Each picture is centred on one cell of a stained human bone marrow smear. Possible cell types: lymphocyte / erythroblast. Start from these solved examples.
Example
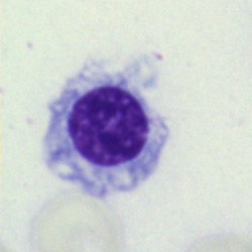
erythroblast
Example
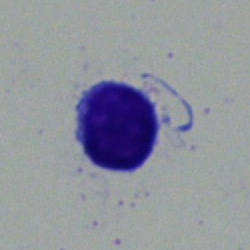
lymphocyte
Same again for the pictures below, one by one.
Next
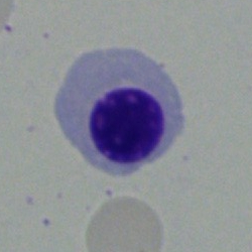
erythroblast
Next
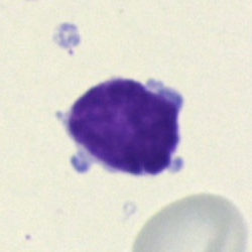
lymphocyte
